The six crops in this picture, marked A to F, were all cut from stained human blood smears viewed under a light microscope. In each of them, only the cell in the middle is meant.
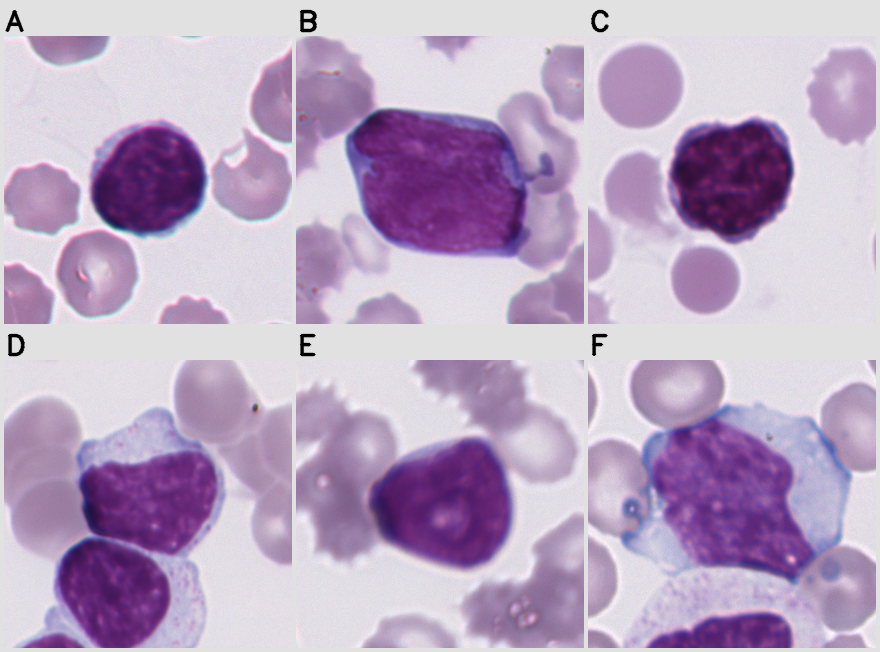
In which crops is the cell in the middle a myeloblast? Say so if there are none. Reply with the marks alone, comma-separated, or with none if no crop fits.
B, C, E, F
